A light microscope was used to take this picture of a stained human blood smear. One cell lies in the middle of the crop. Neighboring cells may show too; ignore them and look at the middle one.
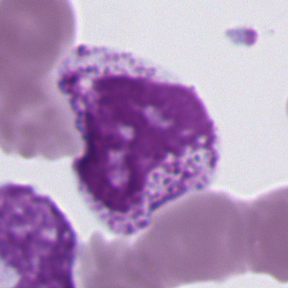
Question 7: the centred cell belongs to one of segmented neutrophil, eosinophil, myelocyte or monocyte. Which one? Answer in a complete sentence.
Regarding the central cell, it is a myelocyte.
